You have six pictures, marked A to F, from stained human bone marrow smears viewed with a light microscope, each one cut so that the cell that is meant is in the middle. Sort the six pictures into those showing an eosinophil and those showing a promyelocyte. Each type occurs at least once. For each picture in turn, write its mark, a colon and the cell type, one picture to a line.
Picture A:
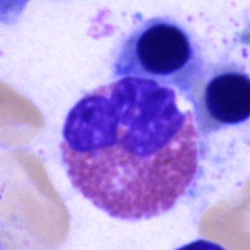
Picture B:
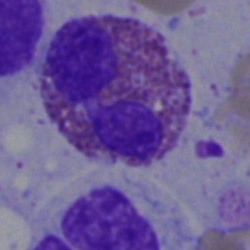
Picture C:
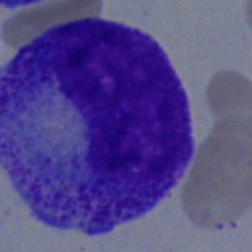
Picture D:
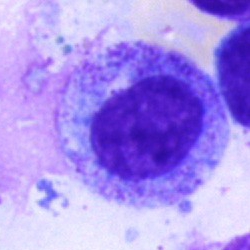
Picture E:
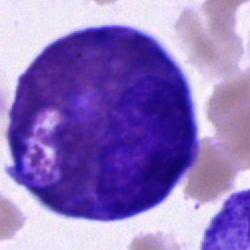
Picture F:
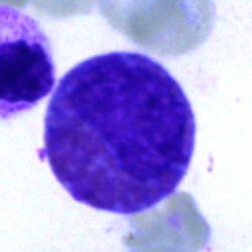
A: eosinophil
B: eosinophil
C: promyelocyte
D: promyelocyte
E: eosinophil
F: eosinophil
